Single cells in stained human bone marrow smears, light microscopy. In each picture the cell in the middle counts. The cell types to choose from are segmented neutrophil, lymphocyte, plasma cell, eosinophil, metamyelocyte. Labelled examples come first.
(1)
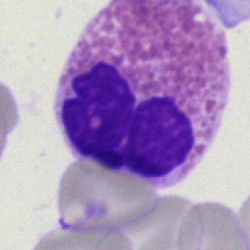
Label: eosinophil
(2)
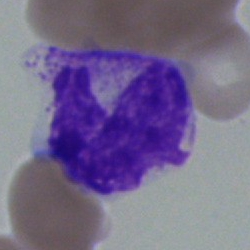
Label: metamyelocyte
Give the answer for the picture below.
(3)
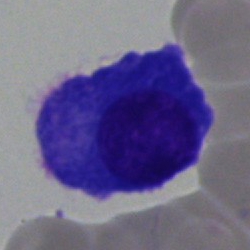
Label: plasma cell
